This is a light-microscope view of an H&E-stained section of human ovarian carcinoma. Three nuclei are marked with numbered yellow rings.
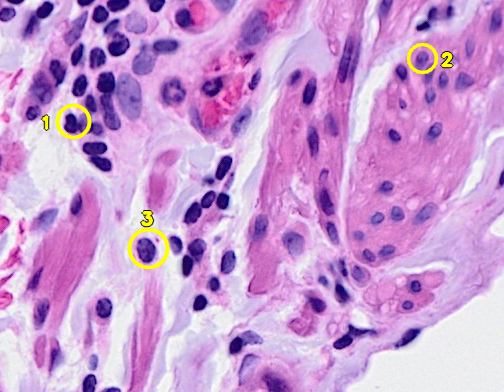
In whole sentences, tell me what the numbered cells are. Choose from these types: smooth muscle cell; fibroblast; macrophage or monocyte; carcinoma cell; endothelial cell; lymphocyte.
Cells 1 and 3 are lymphocytes. Cell 2 is a smooth muscle cell.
